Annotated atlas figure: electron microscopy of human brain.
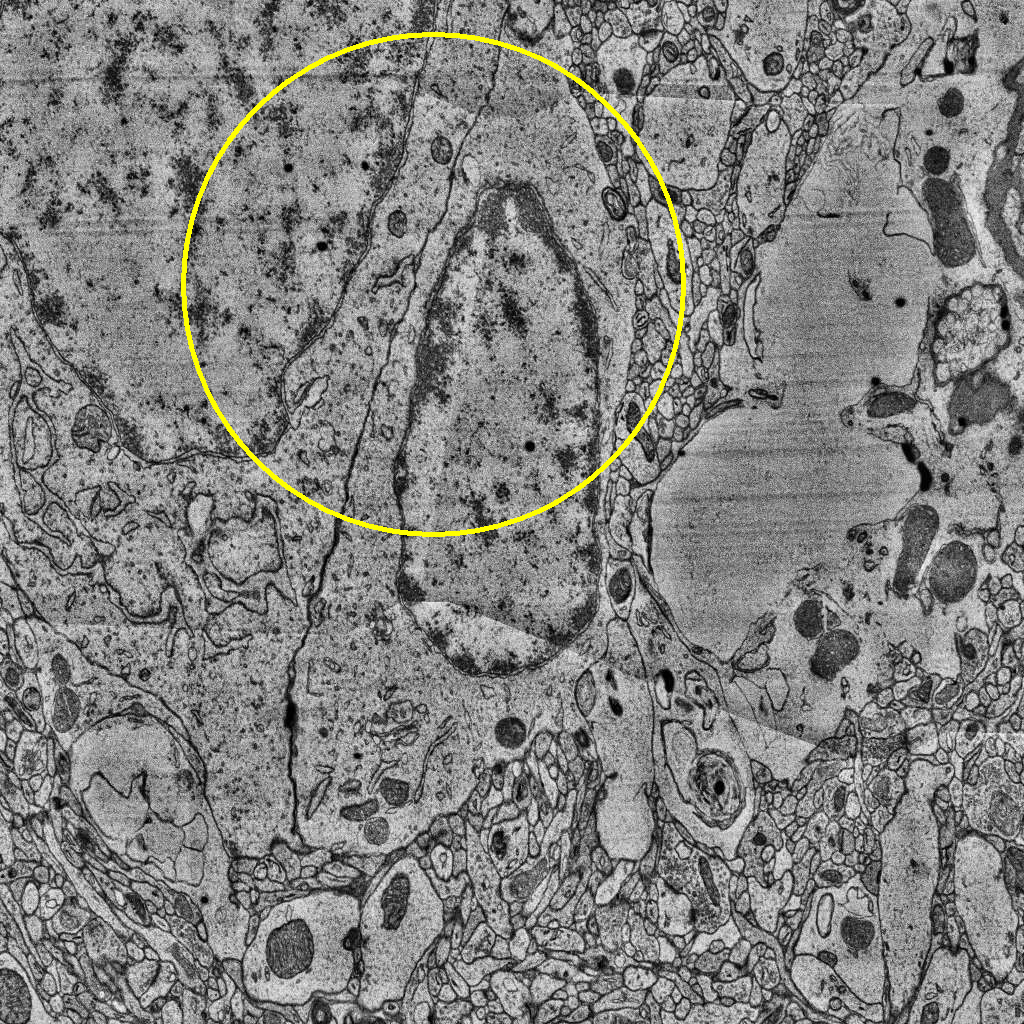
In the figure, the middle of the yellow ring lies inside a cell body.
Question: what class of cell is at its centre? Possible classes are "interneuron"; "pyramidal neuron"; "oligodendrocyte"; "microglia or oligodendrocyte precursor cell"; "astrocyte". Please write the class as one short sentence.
The yellow ring's centre lies in a microglial cell or oligodendrocyte precursor cell.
